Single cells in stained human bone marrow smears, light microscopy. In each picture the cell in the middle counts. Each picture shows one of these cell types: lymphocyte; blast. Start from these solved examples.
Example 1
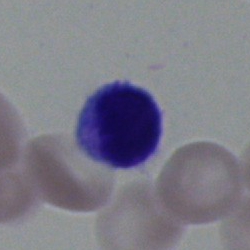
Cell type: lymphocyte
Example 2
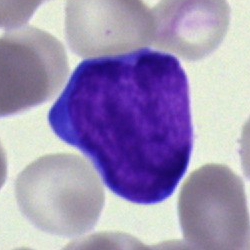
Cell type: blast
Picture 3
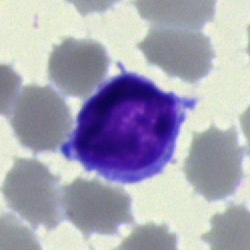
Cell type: lymphocyte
